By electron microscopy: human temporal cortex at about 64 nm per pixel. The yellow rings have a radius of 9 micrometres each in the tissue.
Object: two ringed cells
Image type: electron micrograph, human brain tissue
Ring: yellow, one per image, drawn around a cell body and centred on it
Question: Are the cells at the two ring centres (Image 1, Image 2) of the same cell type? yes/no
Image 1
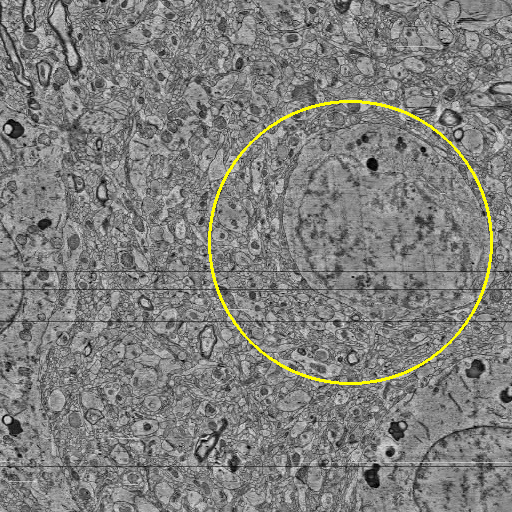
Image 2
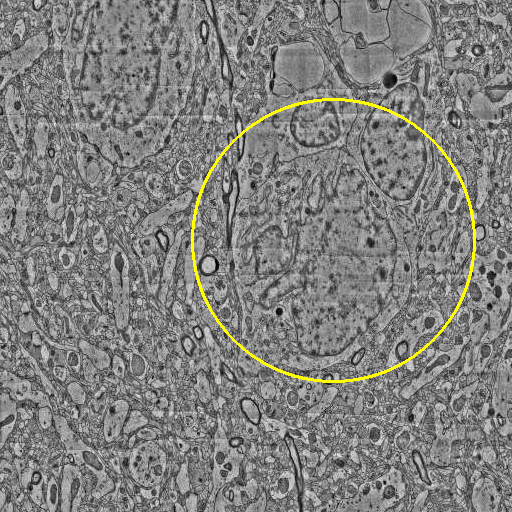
yes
